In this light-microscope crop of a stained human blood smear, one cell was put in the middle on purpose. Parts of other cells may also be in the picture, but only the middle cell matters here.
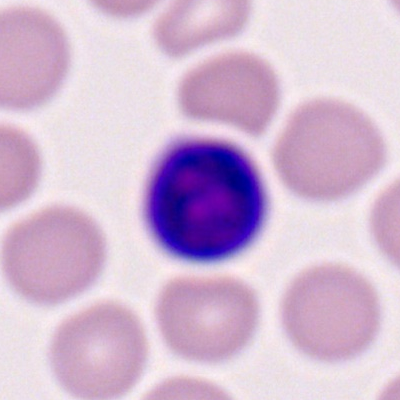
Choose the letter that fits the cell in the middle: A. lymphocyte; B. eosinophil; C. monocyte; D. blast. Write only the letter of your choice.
A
